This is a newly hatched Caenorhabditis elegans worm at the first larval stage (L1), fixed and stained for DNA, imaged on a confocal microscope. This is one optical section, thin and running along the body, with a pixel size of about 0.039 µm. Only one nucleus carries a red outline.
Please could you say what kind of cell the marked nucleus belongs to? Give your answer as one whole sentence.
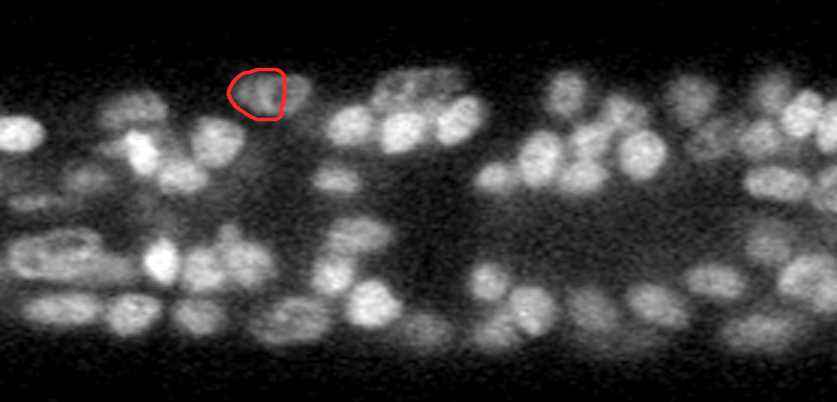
What is marked is the nucleus of a hypodermal cell (hyp).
